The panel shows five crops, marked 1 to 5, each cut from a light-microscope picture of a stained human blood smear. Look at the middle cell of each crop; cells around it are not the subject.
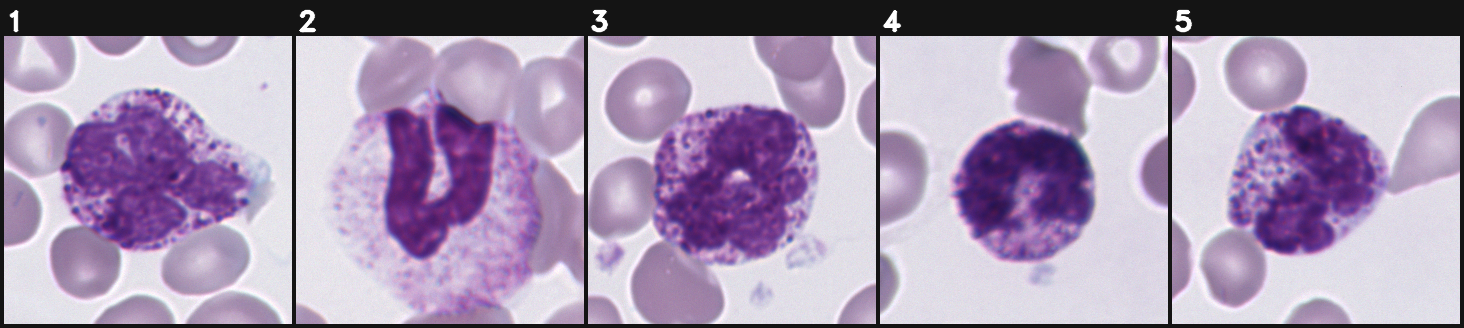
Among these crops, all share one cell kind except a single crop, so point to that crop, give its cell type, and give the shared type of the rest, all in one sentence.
Crop 2 is singled out as a neutrophil, and all of the other crops show basophils.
